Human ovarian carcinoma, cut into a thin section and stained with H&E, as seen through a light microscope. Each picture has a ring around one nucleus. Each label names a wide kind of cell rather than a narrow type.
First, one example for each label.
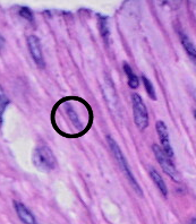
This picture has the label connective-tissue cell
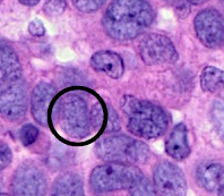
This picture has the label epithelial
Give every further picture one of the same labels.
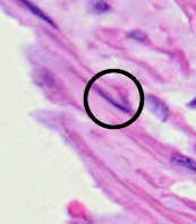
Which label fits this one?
connective-tissue cell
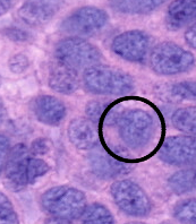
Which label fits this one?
epithelial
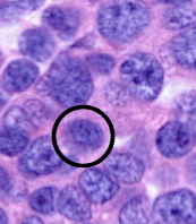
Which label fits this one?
epithelial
